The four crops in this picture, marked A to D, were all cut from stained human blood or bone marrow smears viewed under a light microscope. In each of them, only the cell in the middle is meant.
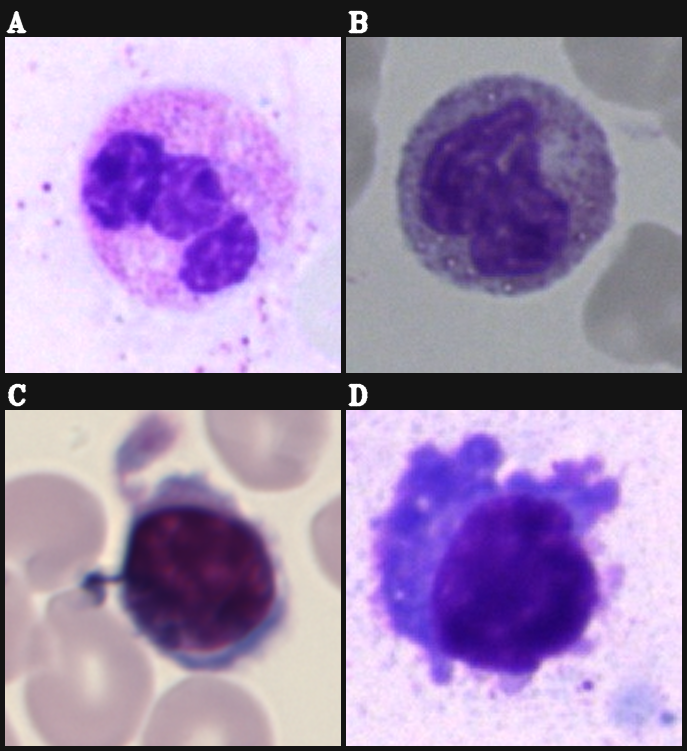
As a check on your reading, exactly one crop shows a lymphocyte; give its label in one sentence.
Among these crops, crop C holds a lymphocyte.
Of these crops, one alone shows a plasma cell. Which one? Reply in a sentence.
Among all the crops given here, the one with a plasma cell is crop D.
